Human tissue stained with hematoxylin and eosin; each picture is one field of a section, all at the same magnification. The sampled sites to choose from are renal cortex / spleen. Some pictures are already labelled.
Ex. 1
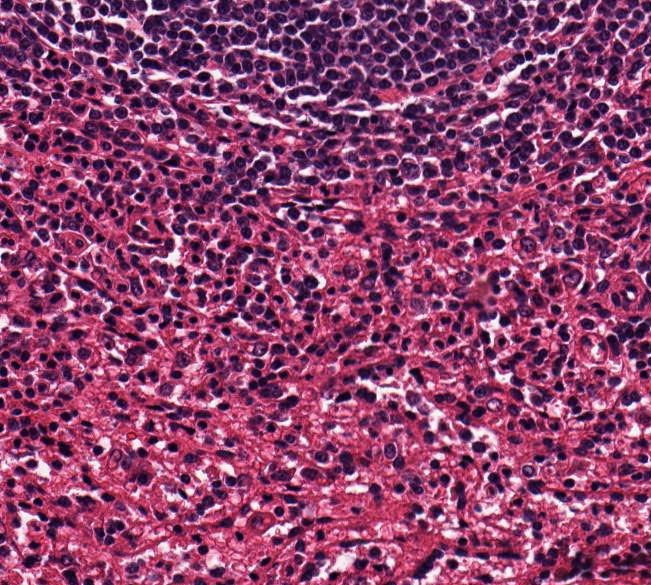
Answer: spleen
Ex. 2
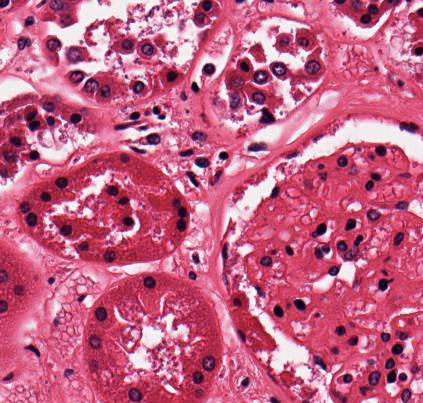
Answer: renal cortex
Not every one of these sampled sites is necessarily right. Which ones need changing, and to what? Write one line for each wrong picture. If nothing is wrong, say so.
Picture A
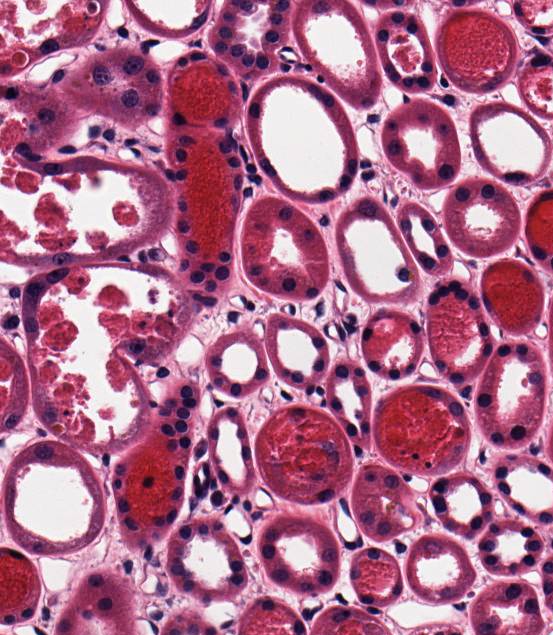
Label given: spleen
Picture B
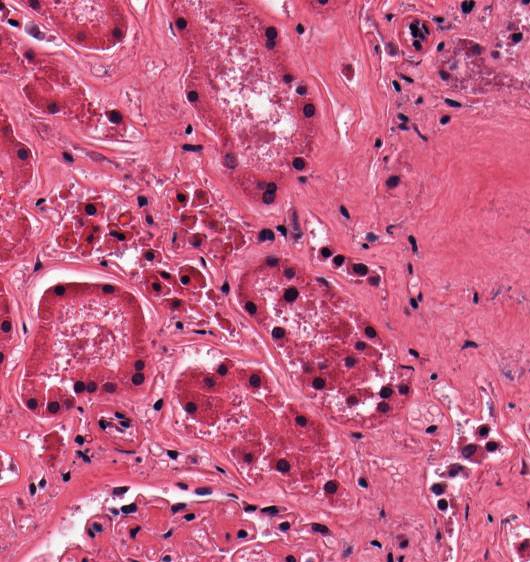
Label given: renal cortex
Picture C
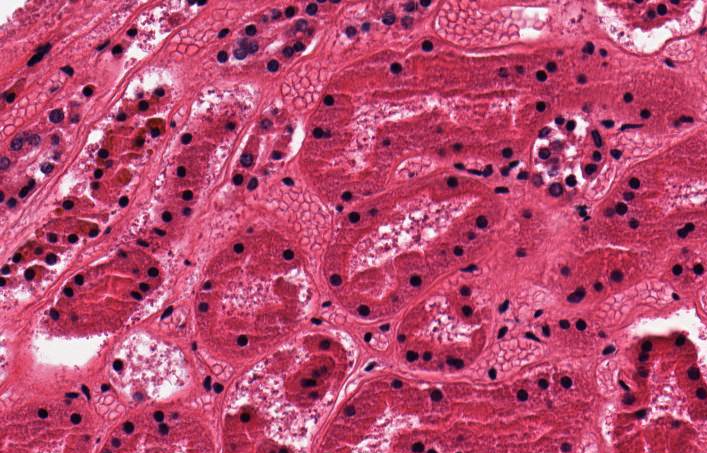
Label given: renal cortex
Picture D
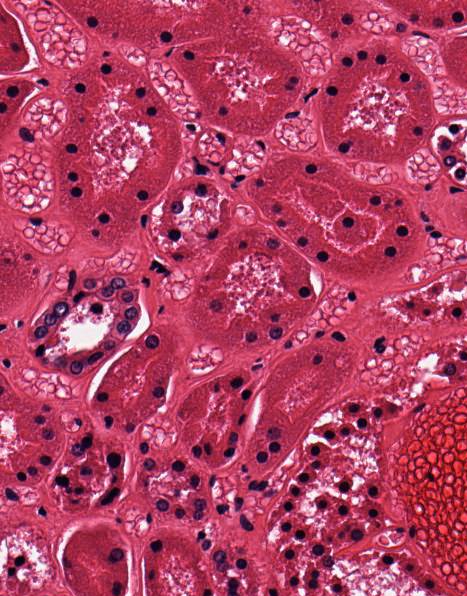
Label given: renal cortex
A: renal cortex, not spleen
